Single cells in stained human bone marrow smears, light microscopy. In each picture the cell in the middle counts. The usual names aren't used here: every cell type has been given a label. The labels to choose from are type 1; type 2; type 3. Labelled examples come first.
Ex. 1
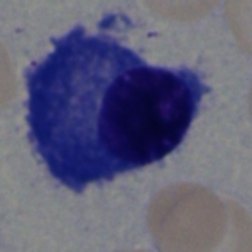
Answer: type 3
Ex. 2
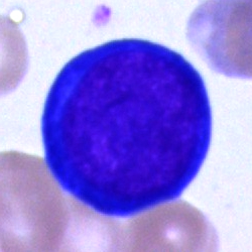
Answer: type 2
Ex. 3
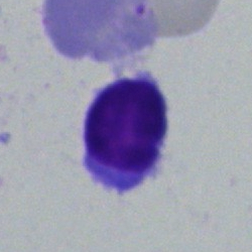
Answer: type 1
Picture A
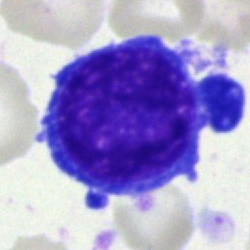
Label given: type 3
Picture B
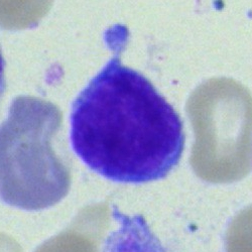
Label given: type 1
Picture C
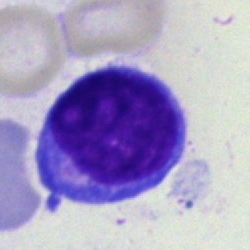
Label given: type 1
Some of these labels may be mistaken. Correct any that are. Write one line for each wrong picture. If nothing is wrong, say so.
A should be type 2, not type 3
